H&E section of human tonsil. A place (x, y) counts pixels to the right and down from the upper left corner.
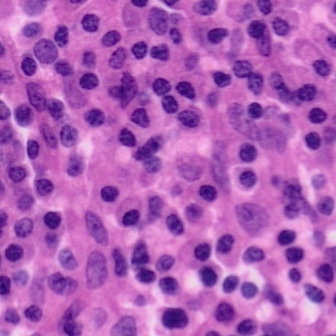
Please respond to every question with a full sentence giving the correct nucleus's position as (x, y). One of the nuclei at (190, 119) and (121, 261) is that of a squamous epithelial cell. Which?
The one at (121, 261) is the nucleus belonging to a squamous epithelial cell, not the other one.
